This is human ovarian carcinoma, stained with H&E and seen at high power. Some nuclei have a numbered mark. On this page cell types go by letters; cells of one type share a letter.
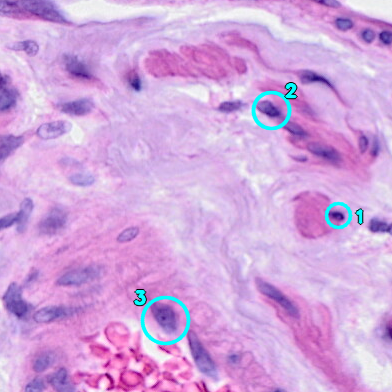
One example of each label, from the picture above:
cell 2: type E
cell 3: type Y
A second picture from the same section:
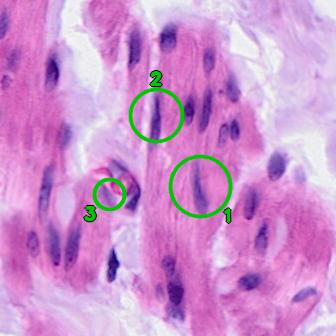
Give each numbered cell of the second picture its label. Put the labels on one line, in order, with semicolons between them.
type E; type E; type Y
